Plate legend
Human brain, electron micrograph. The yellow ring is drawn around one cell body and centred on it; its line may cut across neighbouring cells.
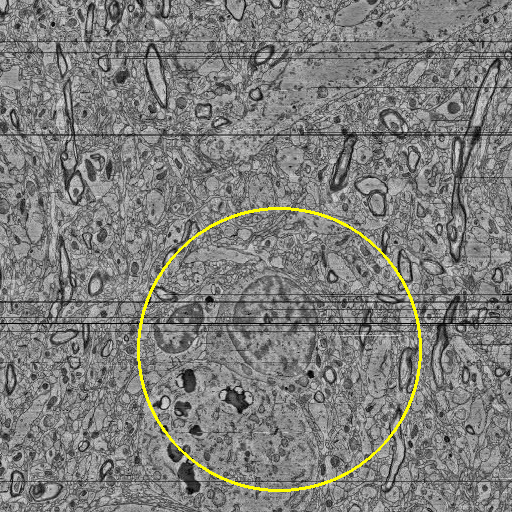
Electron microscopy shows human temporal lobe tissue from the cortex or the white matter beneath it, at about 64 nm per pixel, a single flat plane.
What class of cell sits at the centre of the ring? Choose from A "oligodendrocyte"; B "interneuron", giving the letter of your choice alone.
A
